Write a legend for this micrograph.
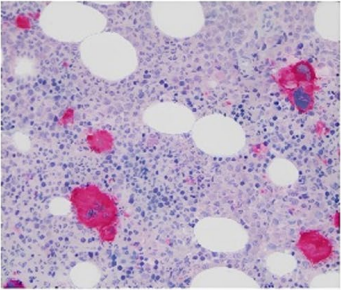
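The stained megakaryocytes vary markedly in size, from small forms to large cells with abundant cytoplasm. Some contain large, lobulated, dark blue nuclei. They lie scattered between round empty fat spaces.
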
